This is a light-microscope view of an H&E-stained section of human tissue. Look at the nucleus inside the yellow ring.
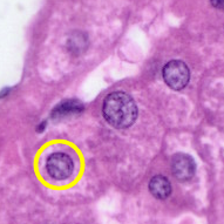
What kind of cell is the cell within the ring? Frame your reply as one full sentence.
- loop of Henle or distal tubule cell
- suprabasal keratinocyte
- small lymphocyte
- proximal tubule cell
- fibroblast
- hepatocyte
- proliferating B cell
The identity of the cell within the ring: it is a hepatocyte.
